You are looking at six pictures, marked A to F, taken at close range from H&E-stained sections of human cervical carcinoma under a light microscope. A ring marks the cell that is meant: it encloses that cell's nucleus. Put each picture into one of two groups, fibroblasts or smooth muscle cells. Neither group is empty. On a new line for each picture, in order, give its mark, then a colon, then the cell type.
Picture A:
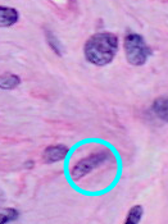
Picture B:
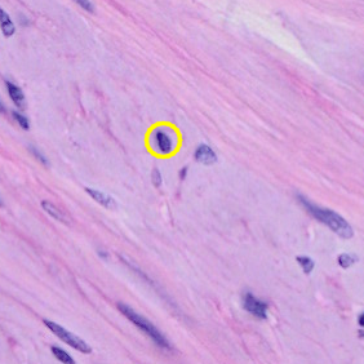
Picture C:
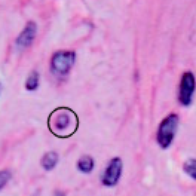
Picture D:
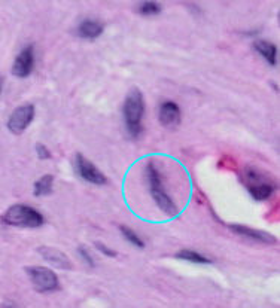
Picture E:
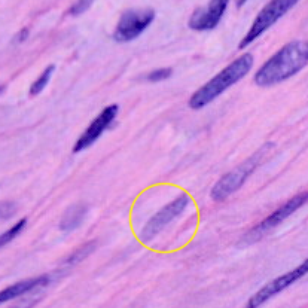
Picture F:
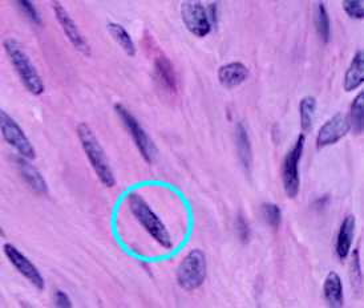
A: smooth muscle cell
B: fibroblast
C: smooth muscle cell
D: fibroblast
E: smooth muscle cell
F: fibroblast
